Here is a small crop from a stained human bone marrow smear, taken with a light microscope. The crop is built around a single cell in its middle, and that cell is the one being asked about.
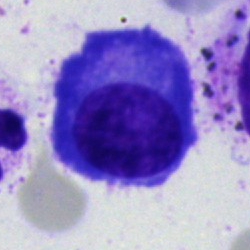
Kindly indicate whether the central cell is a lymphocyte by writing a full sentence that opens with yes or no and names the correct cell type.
No, the cell sitting in the centre of the crop is a plasma cell, not a lymphocyte.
